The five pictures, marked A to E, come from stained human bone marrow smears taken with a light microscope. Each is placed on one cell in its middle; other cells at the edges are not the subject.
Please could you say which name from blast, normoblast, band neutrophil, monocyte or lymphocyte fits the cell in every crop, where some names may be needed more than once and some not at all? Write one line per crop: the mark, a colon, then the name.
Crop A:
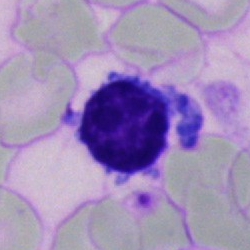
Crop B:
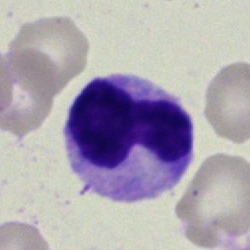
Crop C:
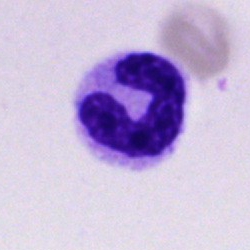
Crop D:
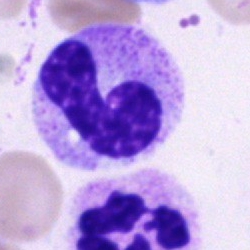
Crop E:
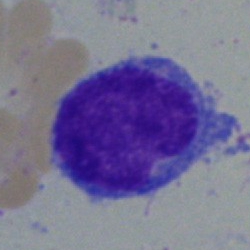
A: lymphocyte
B: band neutrophil
C: band neutrophil
D: band neutrophil
E: blast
